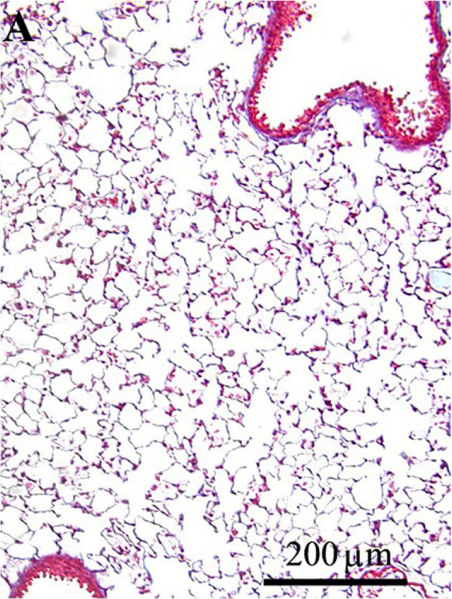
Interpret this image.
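Lung parenchyma with thin, delicate alveolar walls forming an even, lace-like network of open airspaces across the section. The septa stain pink to red and carry scattered small, dark nuclei; there are no thickened walls or solid areas. Profiles of small airways sit at the top edge and the lower left corner, each lined by a continuous layer of red-stained epithelial cells with closely set nuclei, surrounded by a thin rim of blue-stained connective tissue. Apart from this rim, blue staining is scant in the alveolar region.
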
